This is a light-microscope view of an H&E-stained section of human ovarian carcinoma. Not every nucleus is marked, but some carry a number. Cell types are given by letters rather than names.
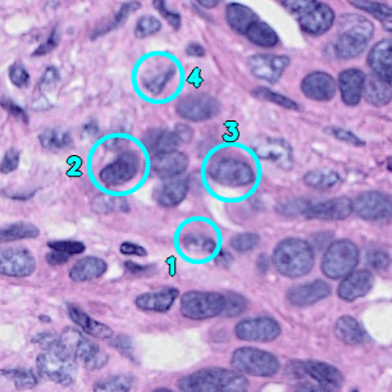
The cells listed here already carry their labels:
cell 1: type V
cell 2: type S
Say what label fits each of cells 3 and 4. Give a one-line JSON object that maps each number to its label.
{"3": "type S", "4": "type V"}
